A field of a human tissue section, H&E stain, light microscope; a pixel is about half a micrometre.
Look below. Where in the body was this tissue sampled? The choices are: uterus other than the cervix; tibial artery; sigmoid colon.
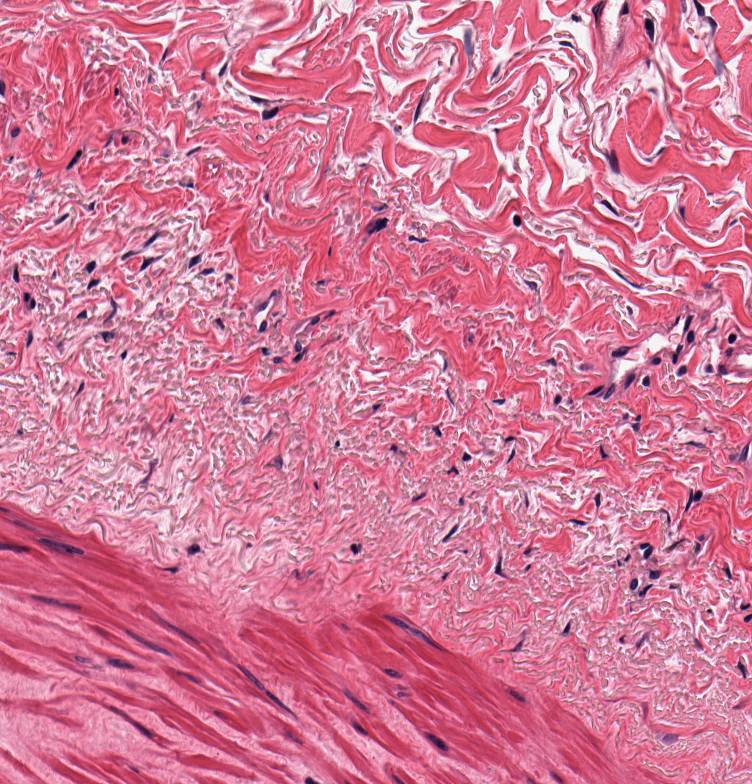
tibial artery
